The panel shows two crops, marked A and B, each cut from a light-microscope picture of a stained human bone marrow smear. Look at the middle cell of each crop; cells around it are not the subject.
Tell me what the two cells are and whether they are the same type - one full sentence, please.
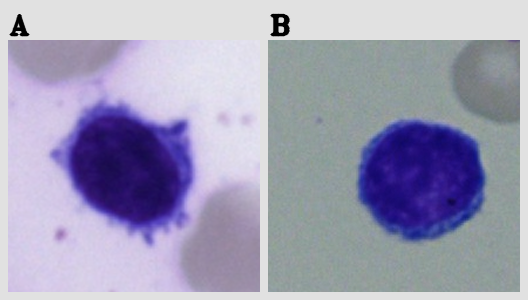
Yes, both crops show lymphocytes, with no exception.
